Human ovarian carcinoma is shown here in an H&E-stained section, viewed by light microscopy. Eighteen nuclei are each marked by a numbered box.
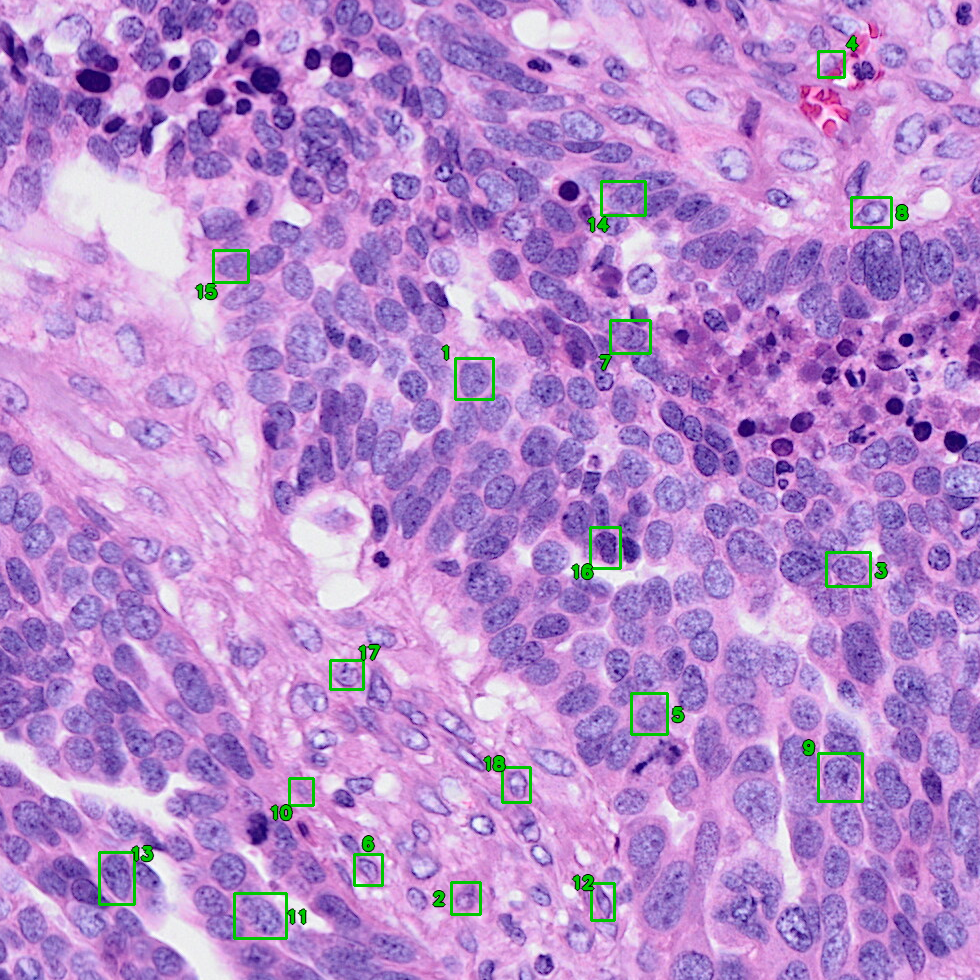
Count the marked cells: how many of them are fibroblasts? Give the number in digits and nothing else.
7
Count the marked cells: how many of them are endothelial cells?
1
